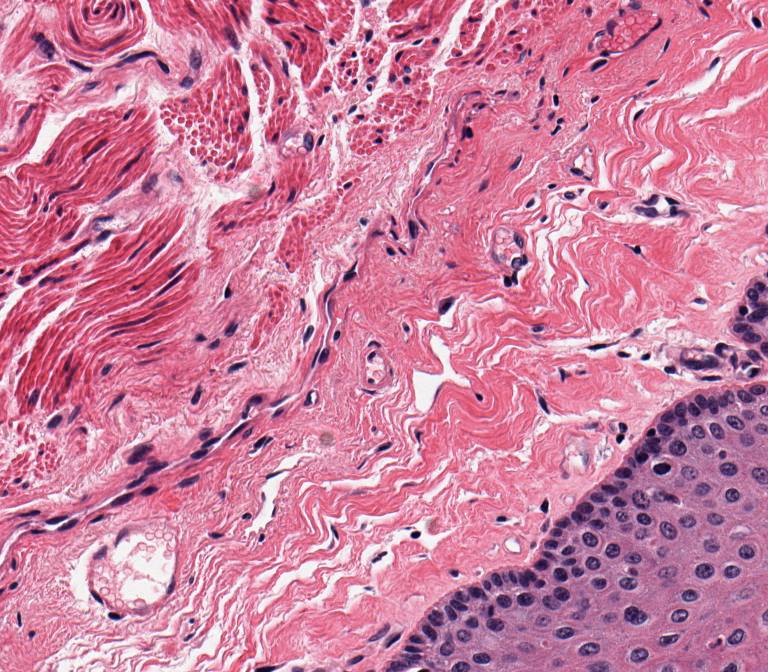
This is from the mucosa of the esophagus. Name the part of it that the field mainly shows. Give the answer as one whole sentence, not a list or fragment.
The human tissue part in this section is loose connective tissue.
